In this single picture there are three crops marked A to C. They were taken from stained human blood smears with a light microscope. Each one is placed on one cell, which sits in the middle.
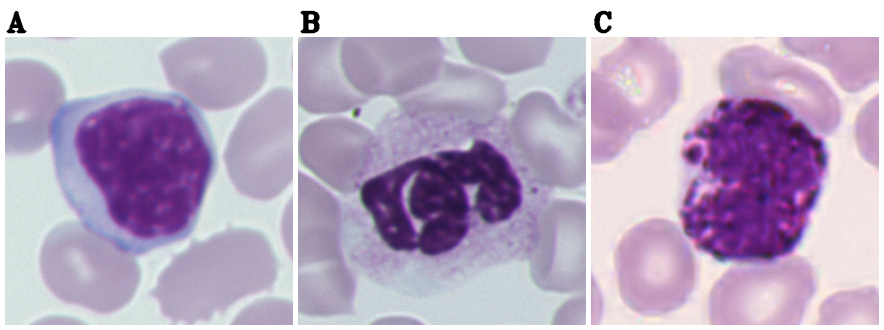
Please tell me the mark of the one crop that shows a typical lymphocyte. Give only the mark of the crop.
A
